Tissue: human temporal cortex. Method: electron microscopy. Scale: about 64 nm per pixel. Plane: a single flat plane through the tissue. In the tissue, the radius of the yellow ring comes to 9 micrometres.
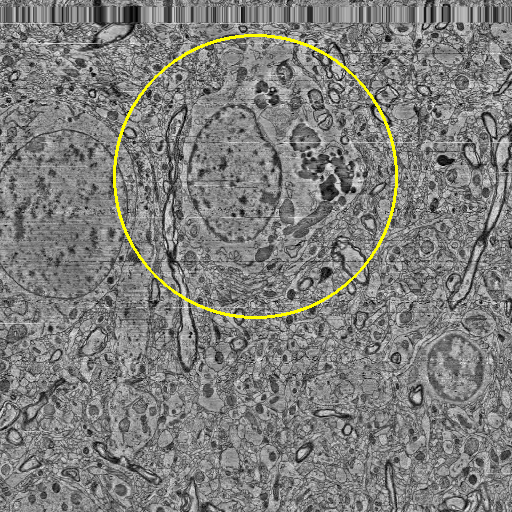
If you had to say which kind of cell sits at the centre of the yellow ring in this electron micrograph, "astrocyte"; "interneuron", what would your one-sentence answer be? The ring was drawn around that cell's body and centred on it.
The cell sitting at the centre of the ring is an astrocyte.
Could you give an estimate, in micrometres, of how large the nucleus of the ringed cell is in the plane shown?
Roughly 9 by 6 micrometres is the size of the nucleus in this plane.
